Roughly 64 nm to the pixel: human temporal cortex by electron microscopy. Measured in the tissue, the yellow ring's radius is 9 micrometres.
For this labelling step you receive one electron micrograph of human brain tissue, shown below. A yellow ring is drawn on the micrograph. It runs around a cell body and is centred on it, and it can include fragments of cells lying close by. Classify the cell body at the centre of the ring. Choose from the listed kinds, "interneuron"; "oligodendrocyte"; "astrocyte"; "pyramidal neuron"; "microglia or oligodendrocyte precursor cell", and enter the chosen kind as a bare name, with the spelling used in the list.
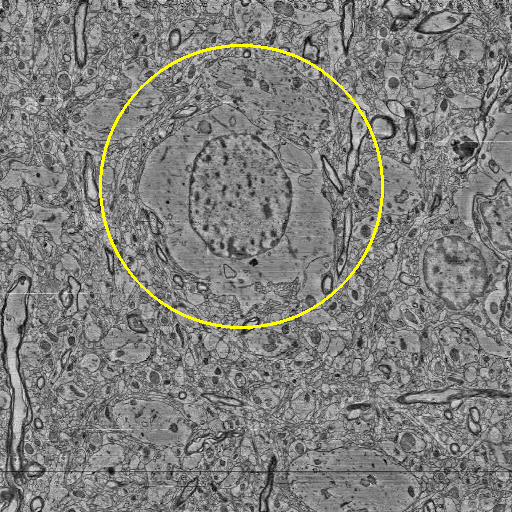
astrocyte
